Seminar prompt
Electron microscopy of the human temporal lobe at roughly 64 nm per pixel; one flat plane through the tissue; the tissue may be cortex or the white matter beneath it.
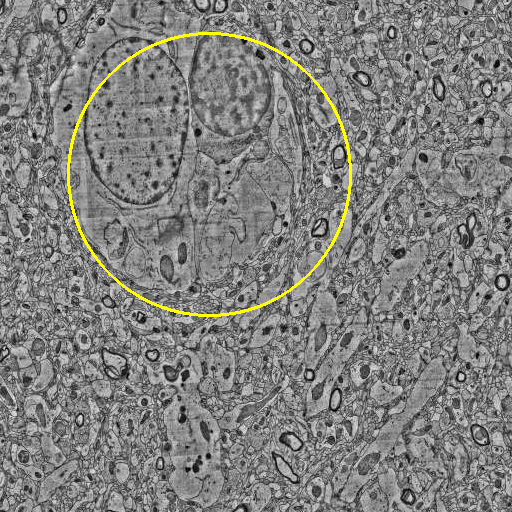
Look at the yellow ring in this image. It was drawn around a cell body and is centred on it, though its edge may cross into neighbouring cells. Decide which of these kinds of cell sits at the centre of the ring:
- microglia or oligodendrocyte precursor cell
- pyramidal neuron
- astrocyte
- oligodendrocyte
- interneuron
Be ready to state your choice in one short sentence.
The kind of cell at the ring's centre is an astrocyte.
